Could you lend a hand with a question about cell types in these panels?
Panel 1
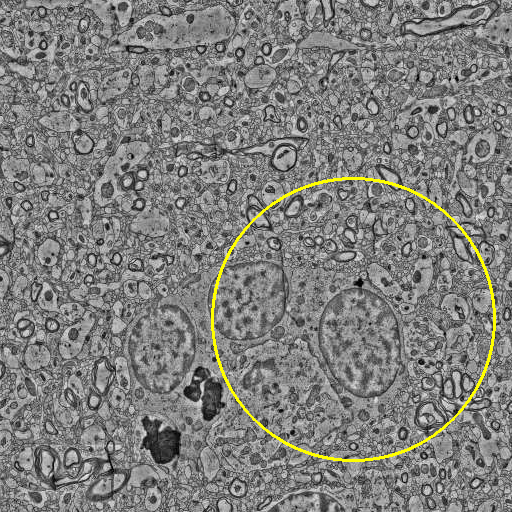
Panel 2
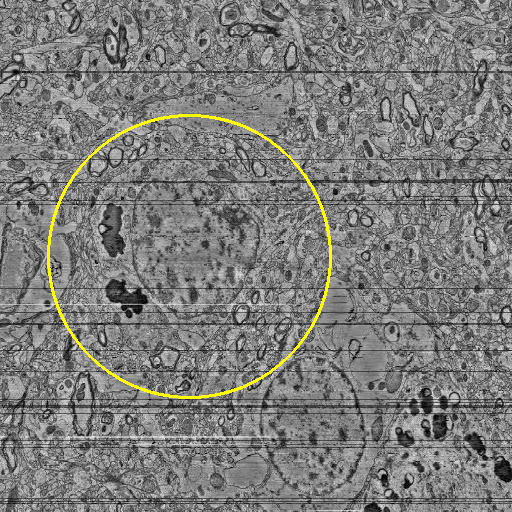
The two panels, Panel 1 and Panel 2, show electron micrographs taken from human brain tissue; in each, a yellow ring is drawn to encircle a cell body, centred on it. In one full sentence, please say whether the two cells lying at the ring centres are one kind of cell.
No, the cells at the ring centres in the two panels are two kinds of cell.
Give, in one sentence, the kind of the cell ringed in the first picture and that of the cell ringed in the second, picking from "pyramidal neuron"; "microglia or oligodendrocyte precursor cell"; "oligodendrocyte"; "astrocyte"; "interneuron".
For the first picture it is an oligodendrocyte; for the second, an interneuron.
